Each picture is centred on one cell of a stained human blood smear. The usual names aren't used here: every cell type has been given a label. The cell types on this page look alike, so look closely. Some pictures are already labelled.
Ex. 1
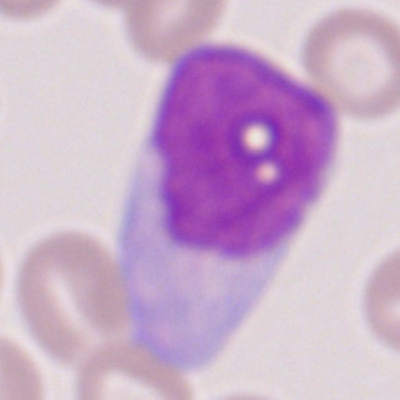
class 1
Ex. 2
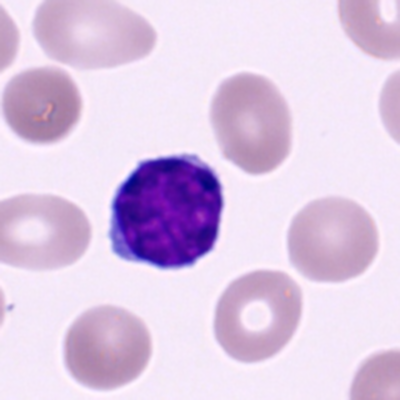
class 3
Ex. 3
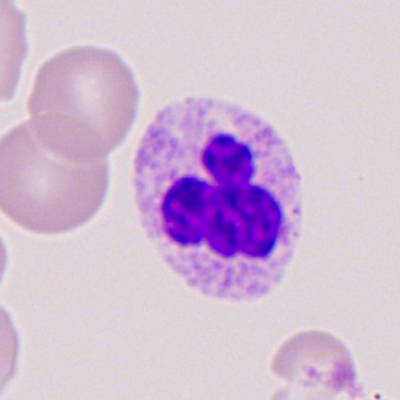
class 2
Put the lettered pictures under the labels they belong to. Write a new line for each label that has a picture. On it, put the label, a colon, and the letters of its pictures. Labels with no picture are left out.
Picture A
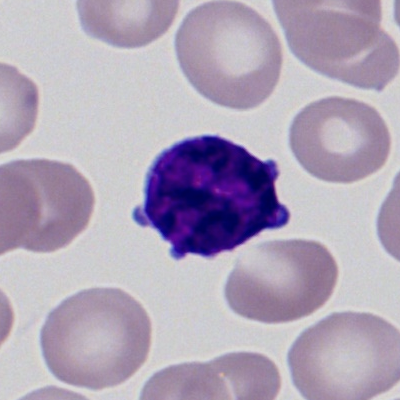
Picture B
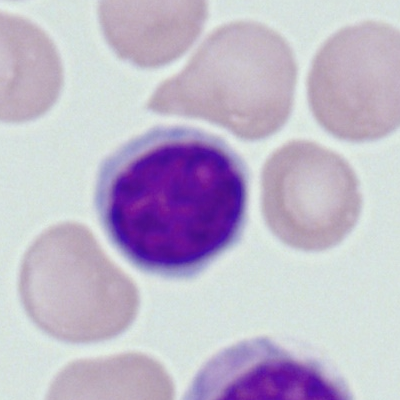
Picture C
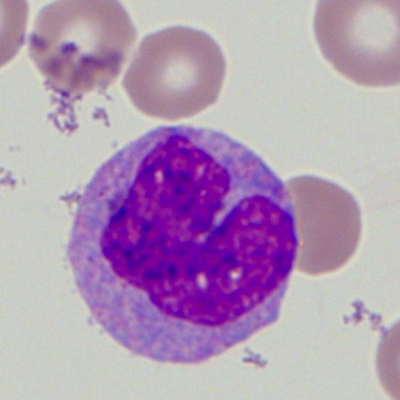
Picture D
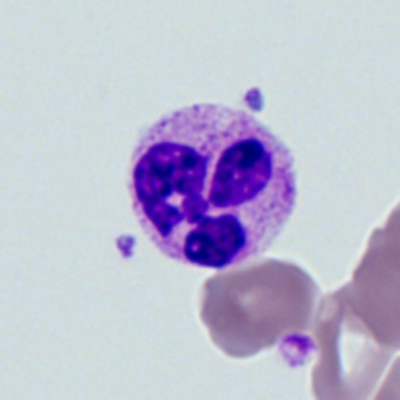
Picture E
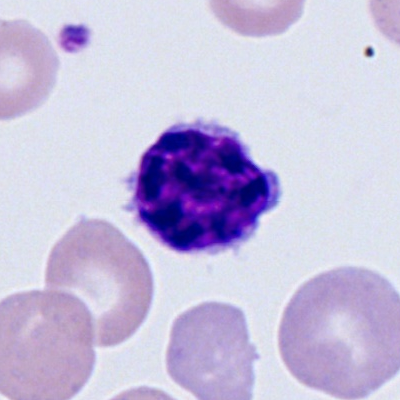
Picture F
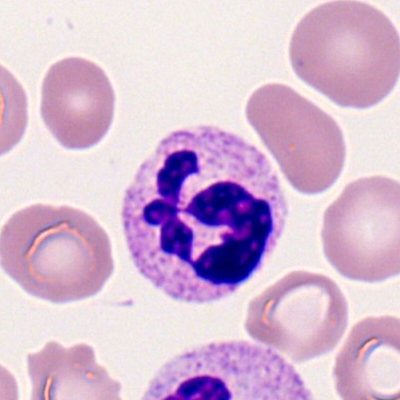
class 1: C
class 3: A, B, E
class 2: D, F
